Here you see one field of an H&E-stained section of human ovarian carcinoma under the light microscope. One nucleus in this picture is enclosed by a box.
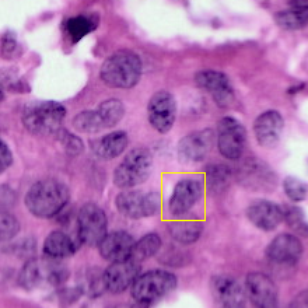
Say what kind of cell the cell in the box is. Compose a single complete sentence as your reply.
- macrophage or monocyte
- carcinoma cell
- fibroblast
Labelled by cell type, the cell in the box is a macrophage or monocyte.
